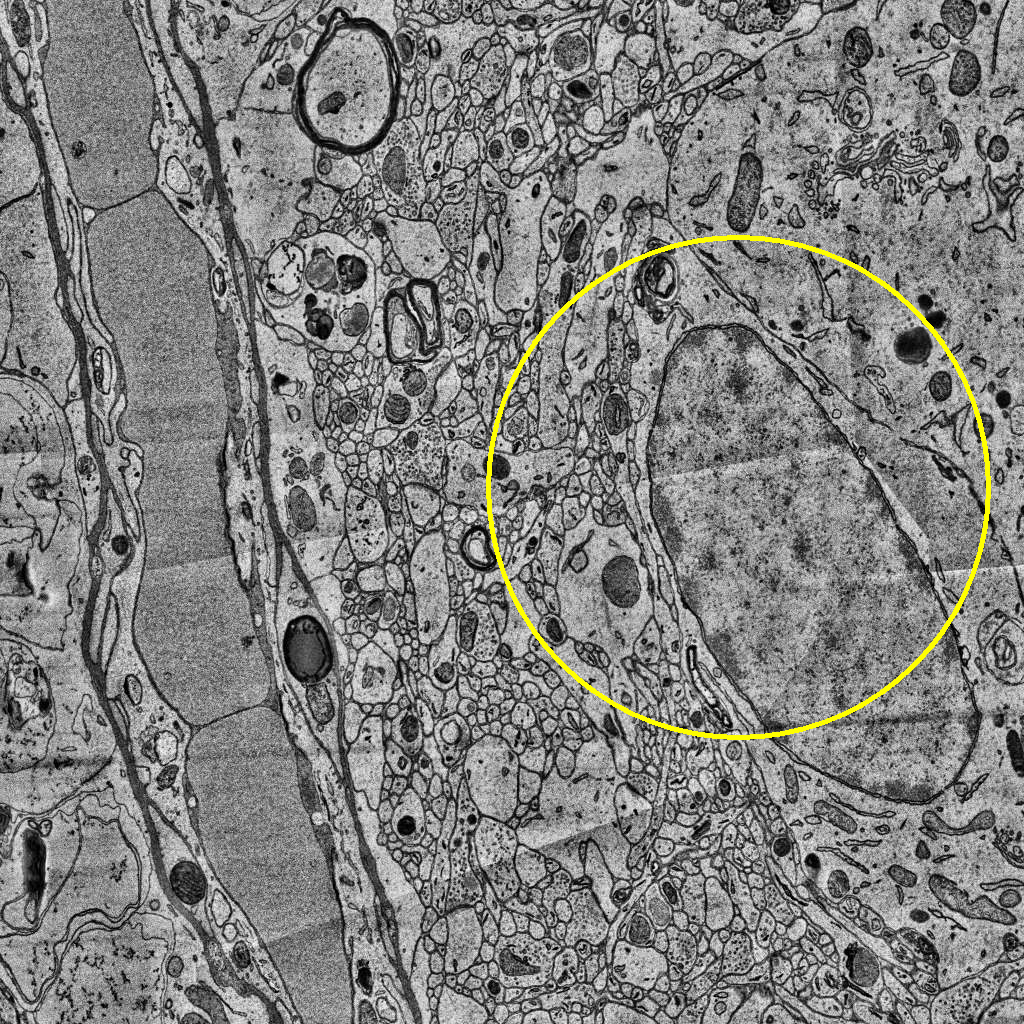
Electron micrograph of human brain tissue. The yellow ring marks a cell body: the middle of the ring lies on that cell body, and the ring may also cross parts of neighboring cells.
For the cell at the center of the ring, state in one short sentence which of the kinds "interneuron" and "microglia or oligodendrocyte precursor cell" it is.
This ring's center lies on a microglial cell or oligodendrocyte precursor cell.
